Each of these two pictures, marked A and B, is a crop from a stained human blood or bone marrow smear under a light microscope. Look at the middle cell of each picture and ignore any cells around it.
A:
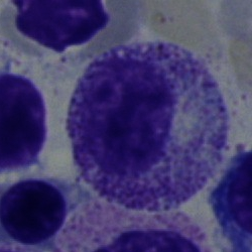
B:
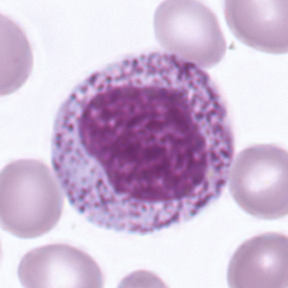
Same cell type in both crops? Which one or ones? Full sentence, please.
Yes, as shown in both crops, the central cells are myelocytes.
